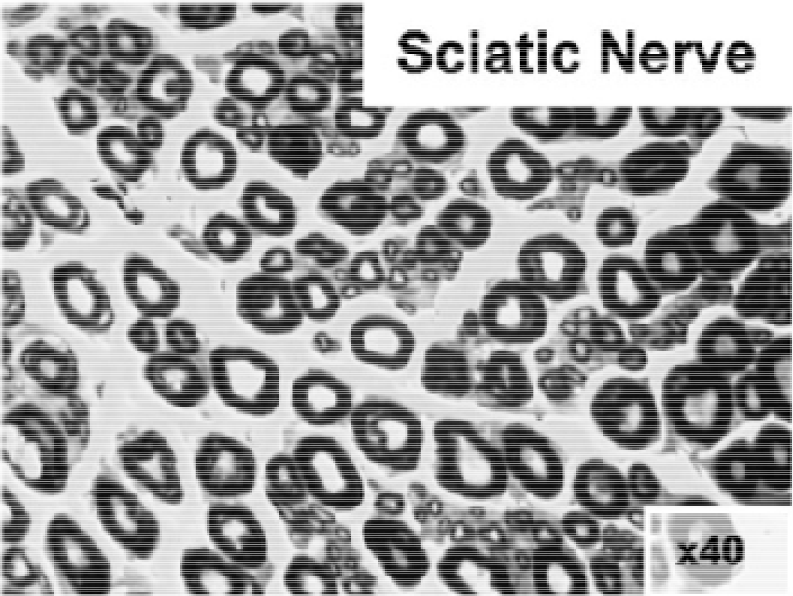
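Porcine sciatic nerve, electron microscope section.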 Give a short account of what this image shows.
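The fibres vary widely in size: large round or oval rings lie beside clusters of much smaller rings. The fibres are separated by pale, light-grey tissue between them, and some are grouped in small clusters. Several rings are slightly irregular or flattened in outline rather than perfectly circular.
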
